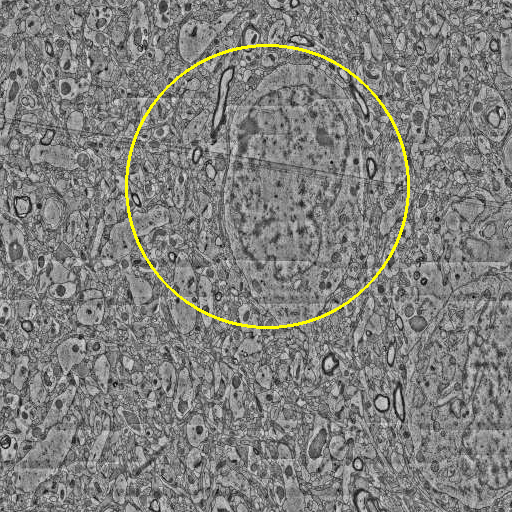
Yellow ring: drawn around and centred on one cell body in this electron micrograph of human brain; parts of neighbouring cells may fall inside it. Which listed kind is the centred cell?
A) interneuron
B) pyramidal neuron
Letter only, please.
A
